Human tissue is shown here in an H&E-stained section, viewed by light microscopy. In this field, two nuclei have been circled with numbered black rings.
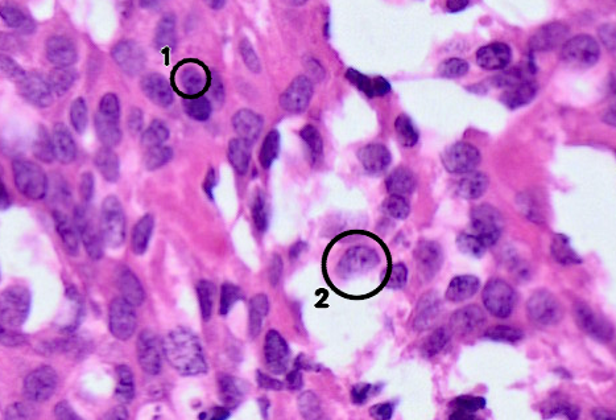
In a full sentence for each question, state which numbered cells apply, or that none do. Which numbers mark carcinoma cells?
Only nucleus 1 belongs to a carcinoma cell; the other numbered nuclei do not.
